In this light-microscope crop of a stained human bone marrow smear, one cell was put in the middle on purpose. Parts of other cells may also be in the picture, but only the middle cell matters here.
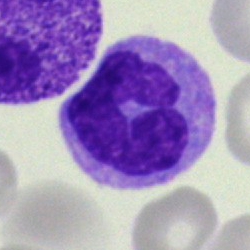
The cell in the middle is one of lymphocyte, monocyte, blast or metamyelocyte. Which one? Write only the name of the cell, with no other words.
monocyte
